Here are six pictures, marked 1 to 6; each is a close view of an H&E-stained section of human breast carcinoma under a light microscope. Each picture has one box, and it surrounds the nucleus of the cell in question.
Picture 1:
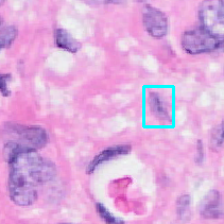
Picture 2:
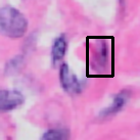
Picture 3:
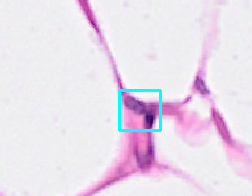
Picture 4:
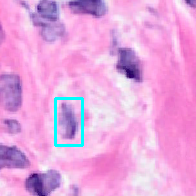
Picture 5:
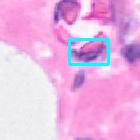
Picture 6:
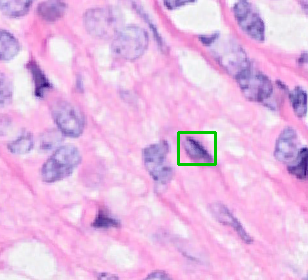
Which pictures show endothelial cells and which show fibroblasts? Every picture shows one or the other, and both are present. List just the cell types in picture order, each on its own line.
fibroblast
endothelial cell
endothelial cell
fibroblast
endothelial cell
endothelial cell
